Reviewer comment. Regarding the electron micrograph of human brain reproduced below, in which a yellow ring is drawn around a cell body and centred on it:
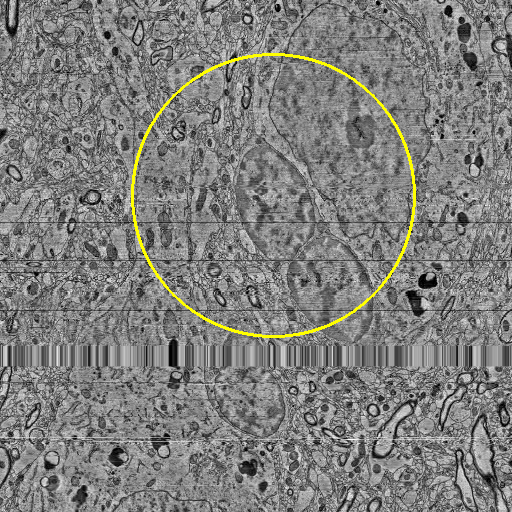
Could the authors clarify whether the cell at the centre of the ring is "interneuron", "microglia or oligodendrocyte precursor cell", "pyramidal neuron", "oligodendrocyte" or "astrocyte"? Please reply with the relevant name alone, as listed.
oligodendrocyte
